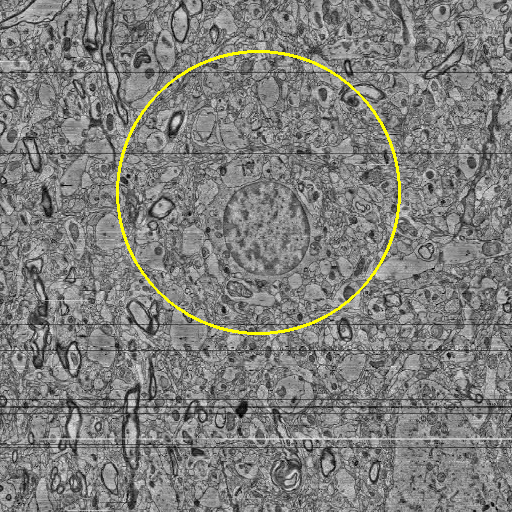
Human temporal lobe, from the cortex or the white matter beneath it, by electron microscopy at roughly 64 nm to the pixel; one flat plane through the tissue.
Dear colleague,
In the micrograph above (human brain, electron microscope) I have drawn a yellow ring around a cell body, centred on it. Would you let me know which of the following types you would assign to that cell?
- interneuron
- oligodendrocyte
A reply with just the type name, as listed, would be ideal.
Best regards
oligodendrocyte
